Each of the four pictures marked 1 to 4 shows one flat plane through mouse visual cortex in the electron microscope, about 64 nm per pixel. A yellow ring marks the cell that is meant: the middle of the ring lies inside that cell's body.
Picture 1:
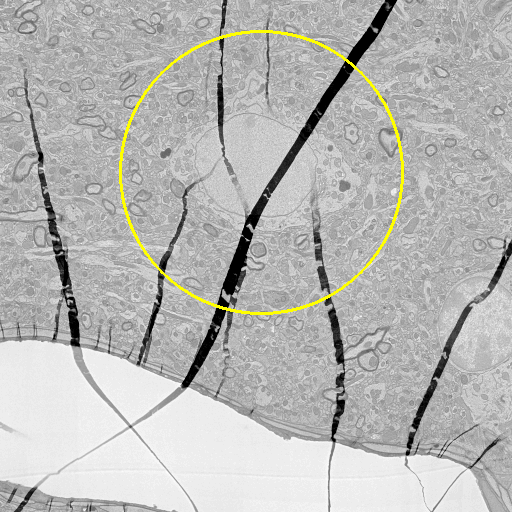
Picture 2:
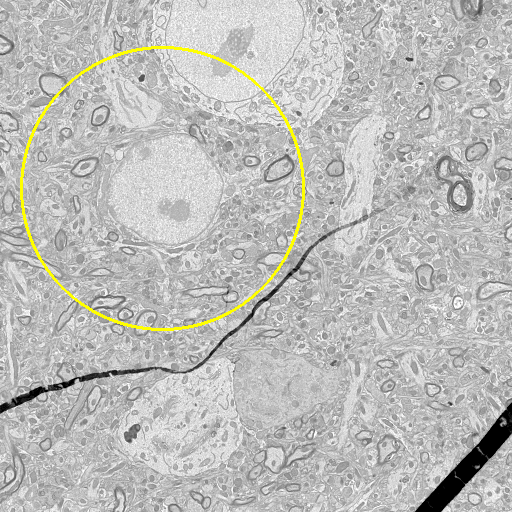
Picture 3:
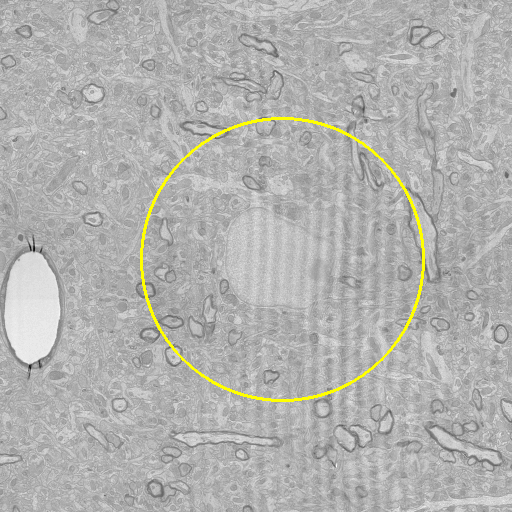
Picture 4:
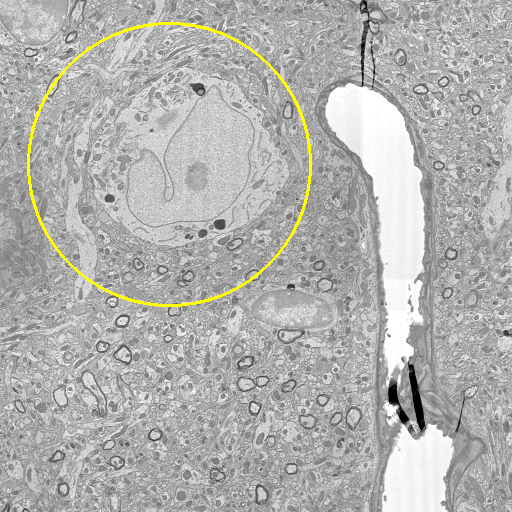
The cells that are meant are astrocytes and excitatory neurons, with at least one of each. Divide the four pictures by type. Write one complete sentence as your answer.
Pictures 2 and 3 show astrocytes; pictures 1 and 4 show excitatory neurons.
